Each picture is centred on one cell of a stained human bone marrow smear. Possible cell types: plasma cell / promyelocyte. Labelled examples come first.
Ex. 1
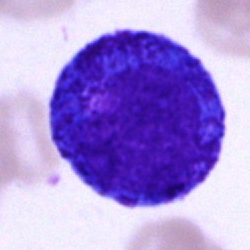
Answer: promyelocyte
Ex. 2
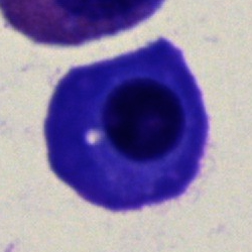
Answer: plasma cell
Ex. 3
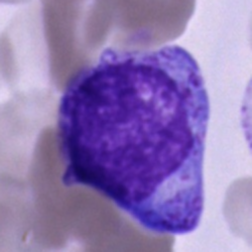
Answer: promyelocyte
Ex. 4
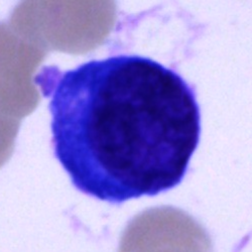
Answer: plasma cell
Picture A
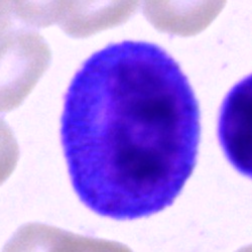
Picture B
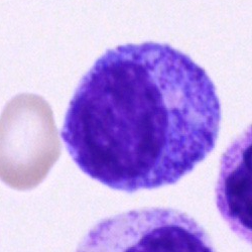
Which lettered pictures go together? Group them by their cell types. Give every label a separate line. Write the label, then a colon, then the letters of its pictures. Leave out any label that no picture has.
promyelocyte: A, B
